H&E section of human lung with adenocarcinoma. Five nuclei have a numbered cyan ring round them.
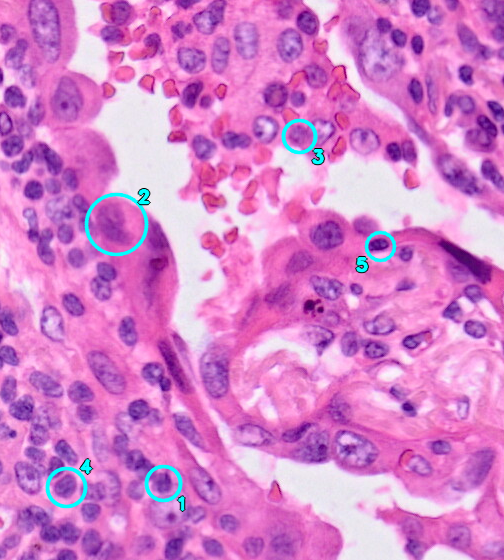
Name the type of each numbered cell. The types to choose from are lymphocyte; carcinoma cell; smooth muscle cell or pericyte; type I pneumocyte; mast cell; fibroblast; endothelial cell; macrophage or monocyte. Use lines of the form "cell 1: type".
cell 1: lymphocyte
cell 2: carcinoma cell
cell 3: macrophage or monocyte
cell 4: lymphocyte
cell 5: lymphocyte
